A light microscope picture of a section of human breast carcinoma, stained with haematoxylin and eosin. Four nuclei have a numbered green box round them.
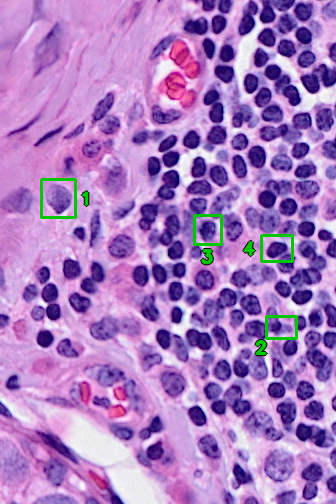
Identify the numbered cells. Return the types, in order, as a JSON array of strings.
["fibroblast", "lymphocyte", "lymphocyte", "lymphocyte"]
